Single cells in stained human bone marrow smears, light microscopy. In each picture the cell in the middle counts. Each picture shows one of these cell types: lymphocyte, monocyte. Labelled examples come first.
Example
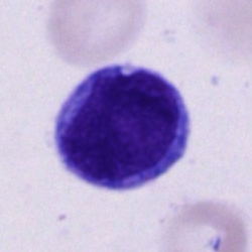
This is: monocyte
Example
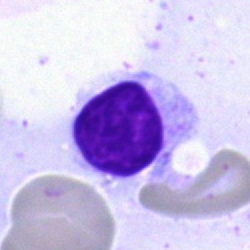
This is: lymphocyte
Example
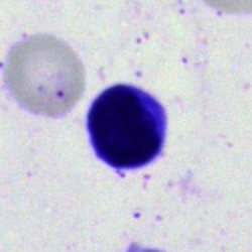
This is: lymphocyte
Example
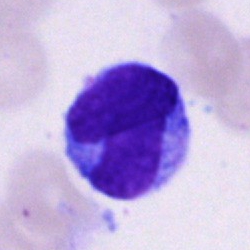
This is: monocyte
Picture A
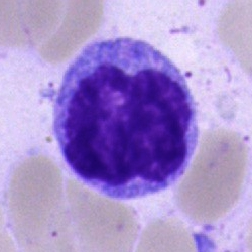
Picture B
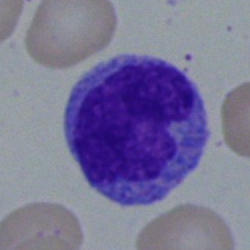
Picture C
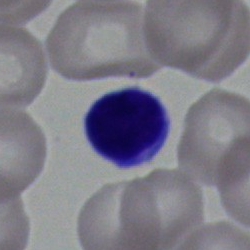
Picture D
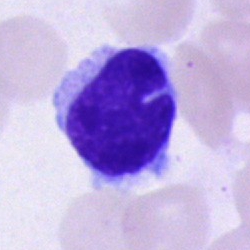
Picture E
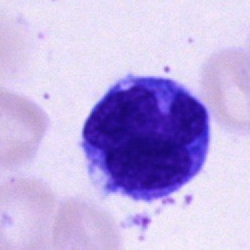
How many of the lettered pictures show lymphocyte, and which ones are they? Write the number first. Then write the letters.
1: C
